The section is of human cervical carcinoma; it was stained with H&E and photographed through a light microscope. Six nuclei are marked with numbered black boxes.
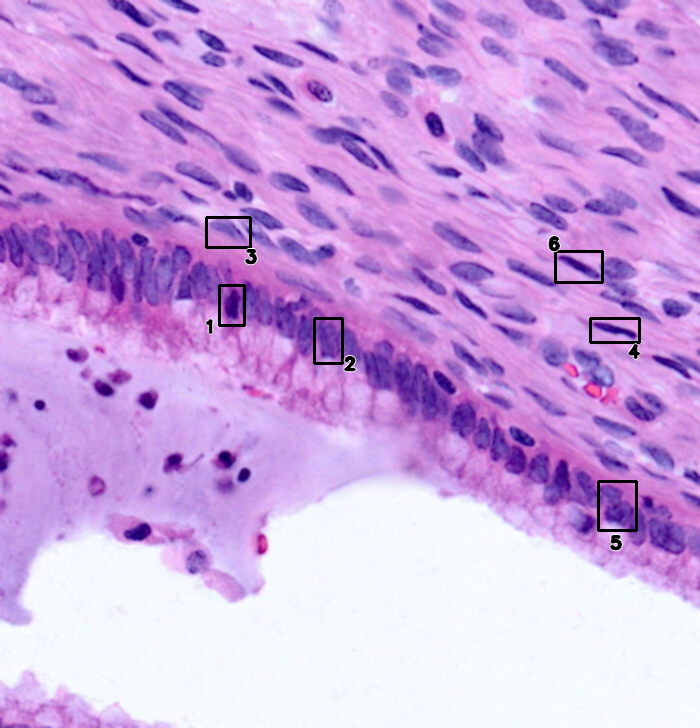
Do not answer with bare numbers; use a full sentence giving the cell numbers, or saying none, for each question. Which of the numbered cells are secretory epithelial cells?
Cells numbered 1, 2 and 5 belong to the group of secretory epithelial cells.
